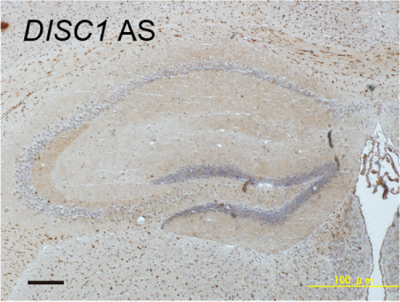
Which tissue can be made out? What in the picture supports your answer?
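A C-shaped band of densely packed cells curves through the section. A V-shaped dark band of cells lies inside the curve, as in the dentate gyrus. So: hippocampus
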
